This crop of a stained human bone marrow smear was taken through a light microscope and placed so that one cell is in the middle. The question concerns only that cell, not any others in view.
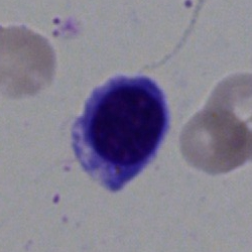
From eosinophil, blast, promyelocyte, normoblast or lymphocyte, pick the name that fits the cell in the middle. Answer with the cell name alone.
normoblast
